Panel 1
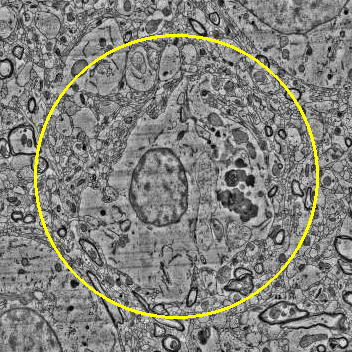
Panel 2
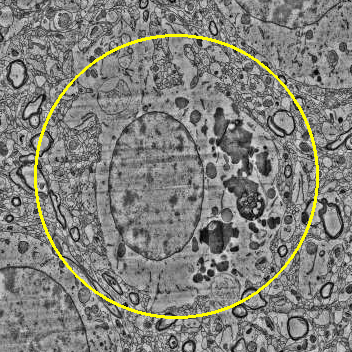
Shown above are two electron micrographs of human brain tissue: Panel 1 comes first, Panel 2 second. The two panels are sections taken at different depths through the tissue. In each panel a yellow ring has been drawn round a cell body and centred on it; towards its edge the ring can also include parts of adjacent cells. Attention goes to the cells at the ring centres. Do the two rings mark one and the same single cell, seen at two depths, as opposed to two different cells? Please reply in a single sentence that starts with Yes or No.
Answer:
Yes, one cell is ringed in yellow twice over.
